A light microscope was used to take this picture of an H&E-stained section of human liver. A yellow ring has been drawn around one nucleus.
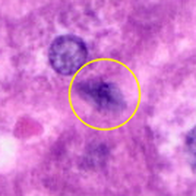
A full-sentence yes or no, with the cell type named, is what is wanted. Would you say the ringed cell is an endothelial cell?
Yes, put very simply, the ringed cell is an endothelial cell.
